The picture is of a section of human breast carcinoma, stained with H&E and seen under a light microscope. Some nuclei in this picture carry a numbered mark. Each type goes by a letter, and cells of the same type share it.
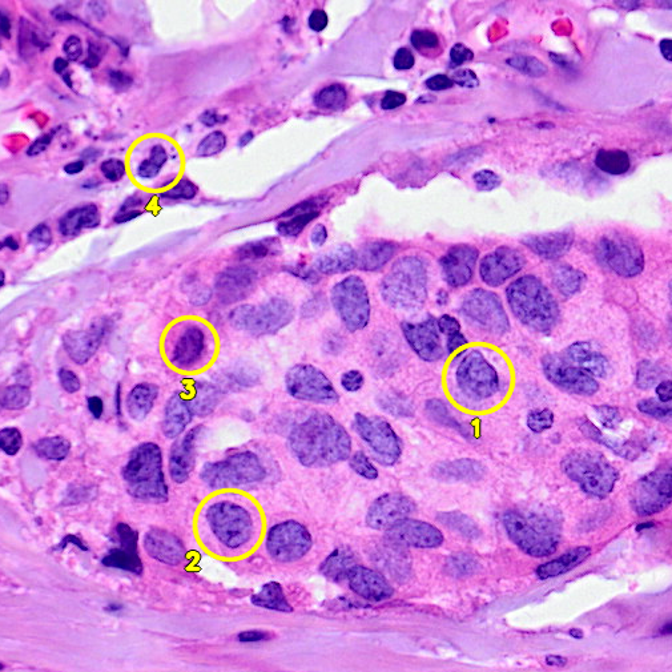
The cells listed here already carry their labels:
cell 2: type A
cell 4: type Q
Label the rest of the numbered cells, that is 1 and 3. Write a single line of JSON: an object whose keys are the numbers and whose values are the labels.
{"1": "type A", "3": "type A"}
